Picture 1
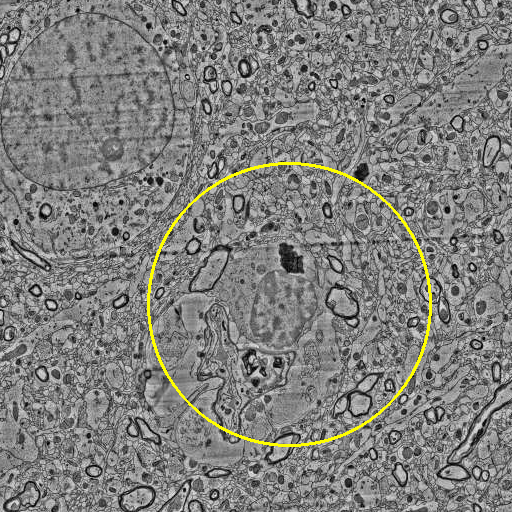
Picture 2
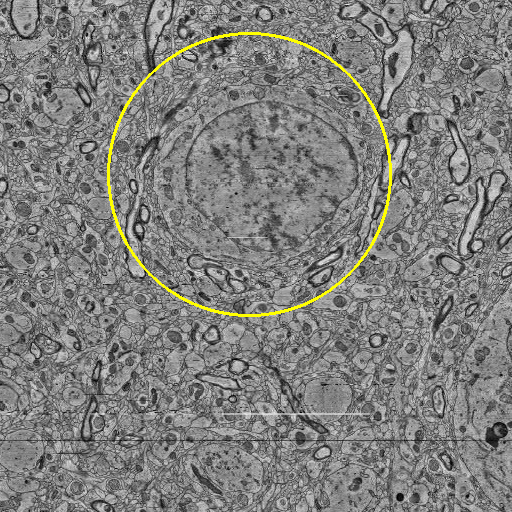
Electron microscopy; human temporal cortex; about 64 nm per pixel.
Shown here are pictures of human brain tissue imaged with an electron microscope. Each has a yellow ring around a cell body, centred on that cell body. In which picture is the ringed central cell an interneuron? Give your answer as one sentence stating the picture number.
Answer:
My answer is picture 2, where the ringed cell at the centre is the one sought.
